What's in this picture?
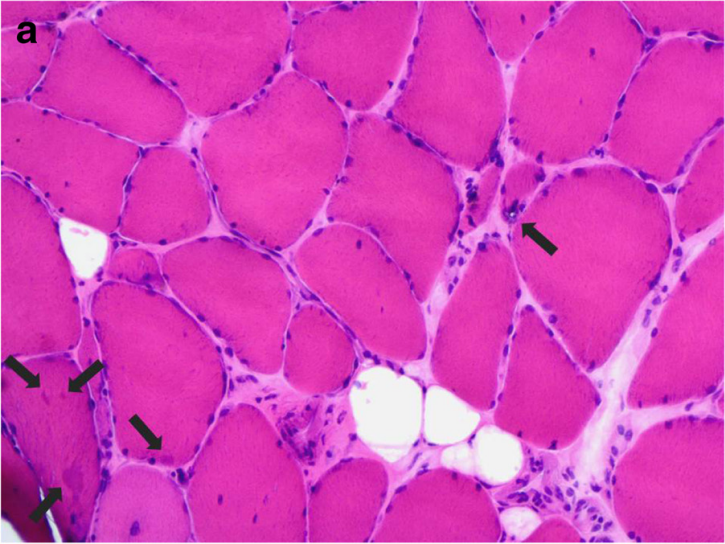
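This is skeletal muscle in cross-section, with polygonal pink fibers separated by thin bands of pale connective tissue. The fibers vary considerably in size, some large and rounded, others small and angular squeezed between them. The endomysium between fibers is somewhat widened, with scattered flattened nuclei, and a few empty fat cells sit in the spaces. Some large fibers show small, faintly different purplish patches within their interior rather than at the edge, and a few nuclei lie inside fibers instead of under the membrane.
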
